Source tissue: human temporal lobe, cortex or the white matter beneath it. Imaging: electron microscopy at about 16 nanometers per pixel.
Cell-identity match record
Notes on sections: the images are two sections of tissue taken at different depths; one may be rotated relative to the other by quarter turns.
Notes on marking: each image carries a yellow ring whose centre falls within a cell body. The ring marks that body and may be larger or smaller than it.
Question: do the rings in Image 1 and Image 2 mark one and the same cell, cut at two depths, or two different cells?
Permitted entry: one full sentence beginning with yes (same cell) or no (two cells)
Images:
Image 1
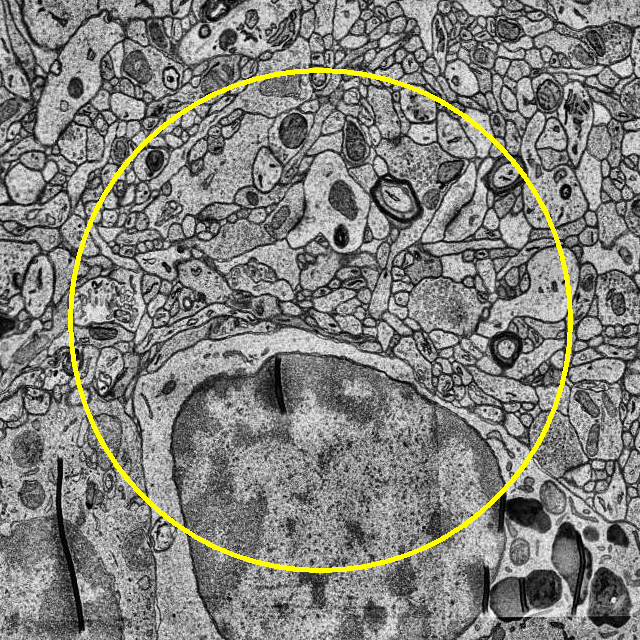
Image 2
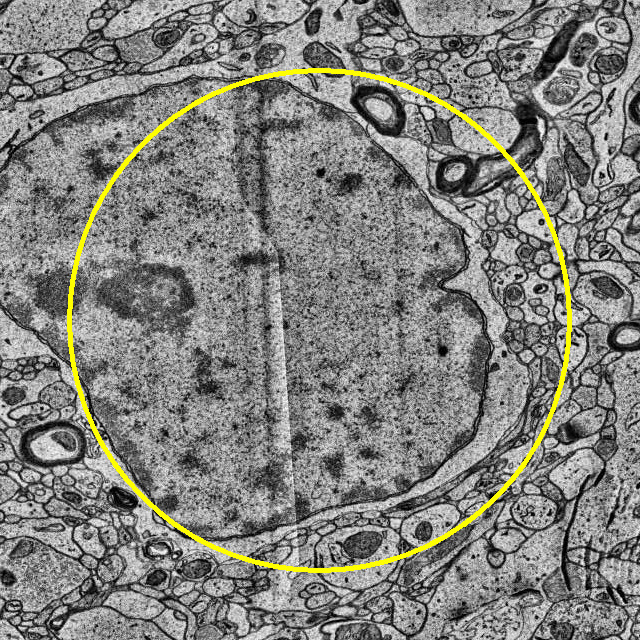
No, the two rings were placed on two different cells.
